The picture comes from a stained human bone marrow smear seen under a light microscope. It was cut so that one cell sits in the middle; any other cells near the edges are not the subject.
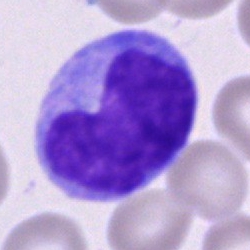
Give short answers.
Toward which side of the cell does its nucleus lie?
lower right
